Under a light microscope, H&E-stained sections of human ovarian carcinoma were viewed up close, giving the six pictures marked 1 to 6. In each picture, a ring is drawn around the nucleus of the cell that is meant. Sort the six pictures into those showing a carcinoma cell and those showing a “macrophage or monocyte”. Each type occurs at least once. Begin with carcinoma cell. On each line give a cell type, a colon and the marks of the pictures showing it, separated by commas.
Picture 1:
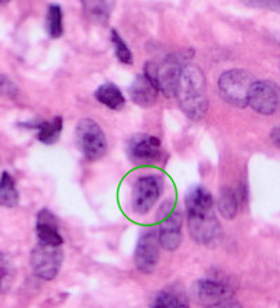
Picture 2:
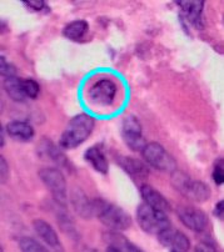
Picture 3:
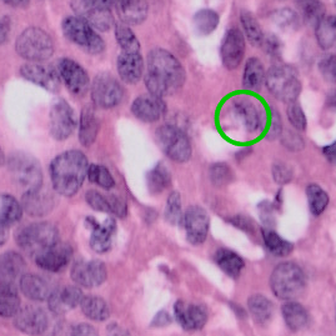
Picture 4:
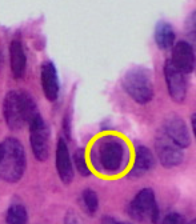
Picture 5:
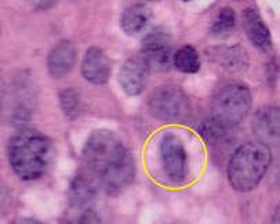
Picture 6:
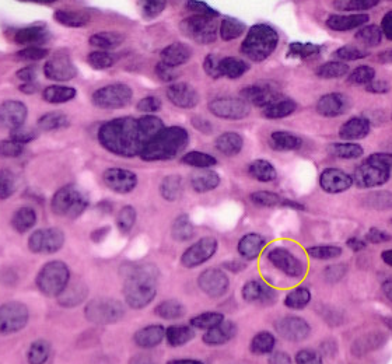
carcinoma cell: 3, 4, 6
macrophage or monocyte: 1, 2, 5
